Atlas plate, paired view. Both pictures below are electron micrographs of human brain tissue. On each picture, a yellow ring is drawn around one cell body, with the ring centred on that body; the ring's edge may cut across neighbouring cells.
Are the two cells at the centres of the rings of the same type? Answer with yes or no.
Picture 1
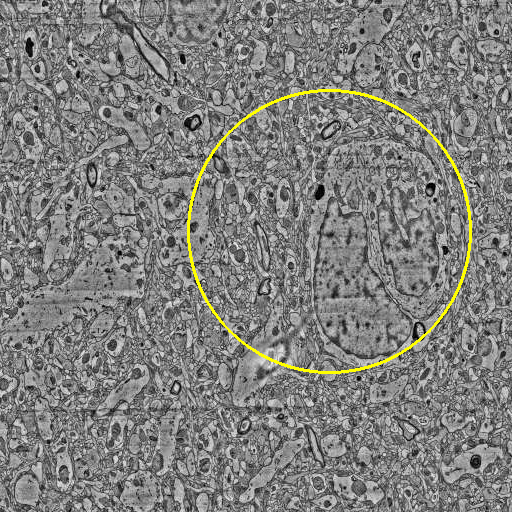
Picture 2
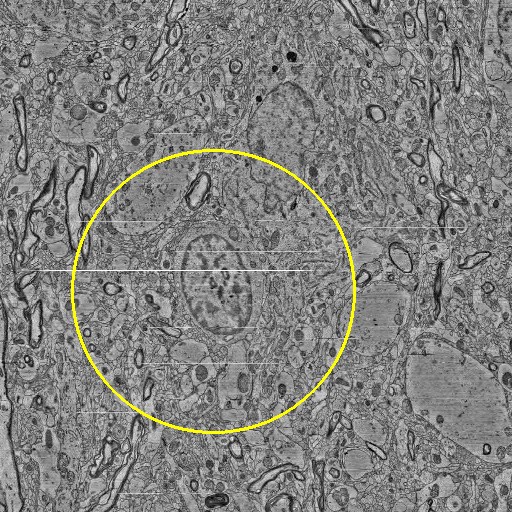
no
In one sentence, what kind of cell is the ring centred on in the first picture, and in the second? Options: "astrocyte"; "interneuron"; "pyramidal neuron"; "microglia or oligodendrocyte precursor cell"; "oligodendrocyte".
The cell at the centre of the second ring is an oligodendrocyte; the first ring's cell is a microglial cell or oligodendrocyte precursor cell.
